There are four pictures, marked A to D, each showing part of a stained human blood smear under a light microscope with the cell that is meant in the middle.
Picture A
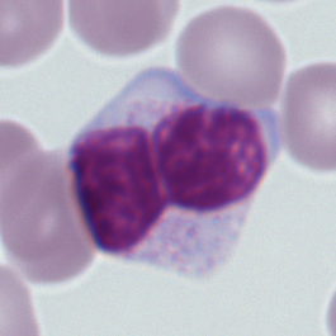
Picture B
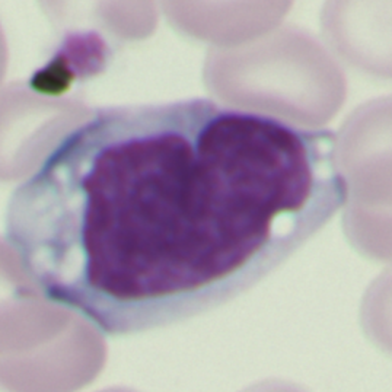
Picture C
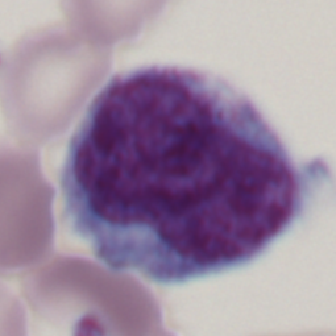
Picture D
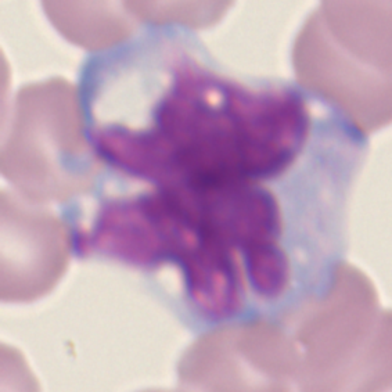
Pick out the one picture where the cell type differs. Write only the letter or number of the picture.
A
